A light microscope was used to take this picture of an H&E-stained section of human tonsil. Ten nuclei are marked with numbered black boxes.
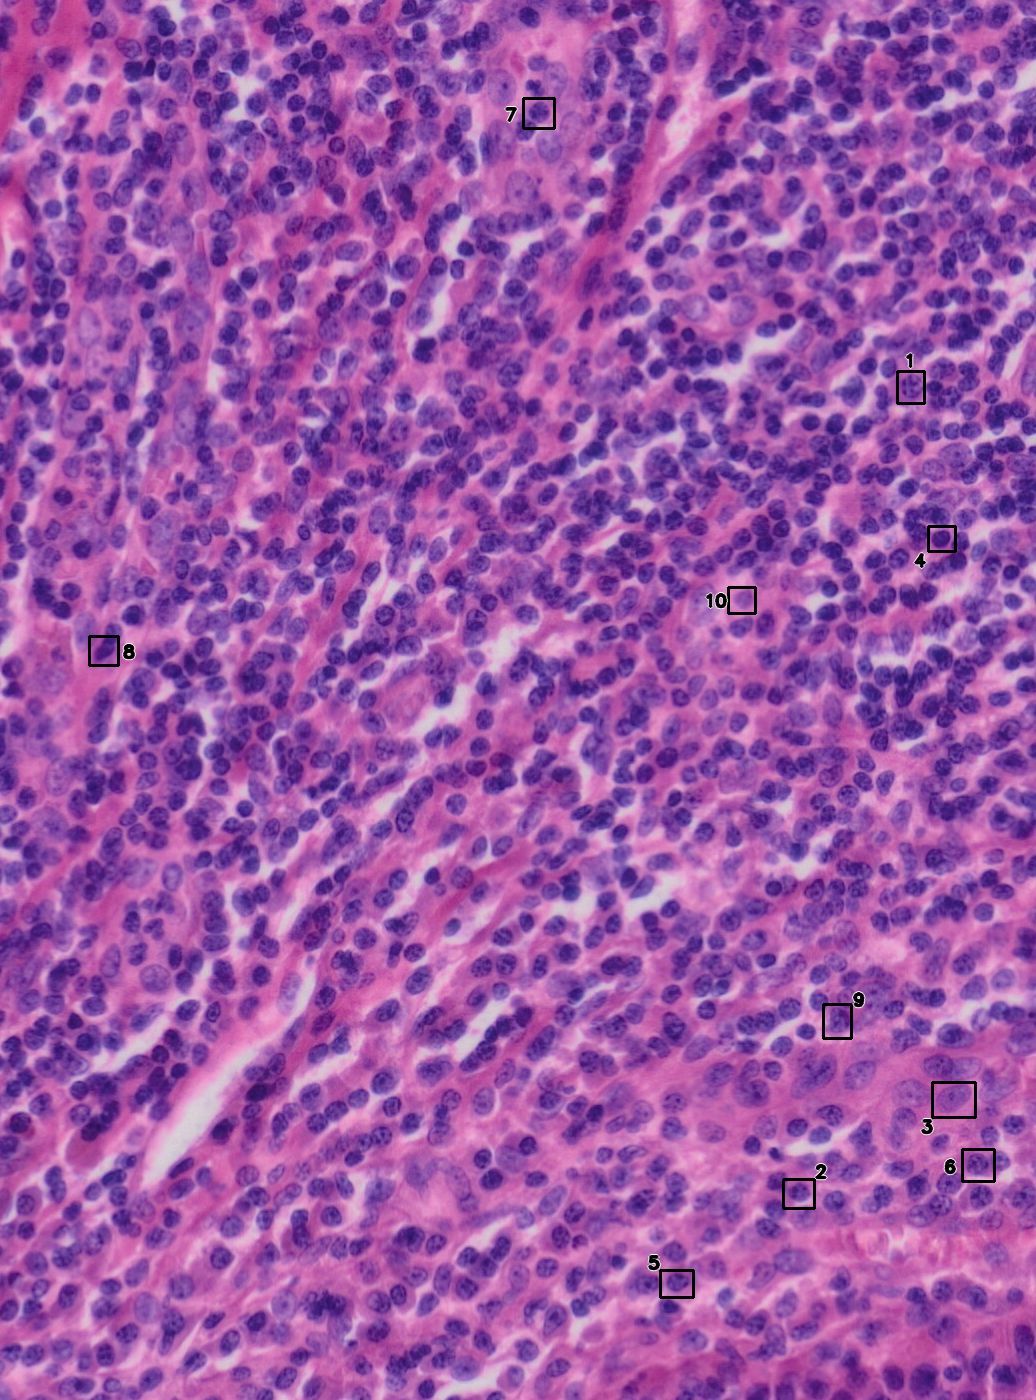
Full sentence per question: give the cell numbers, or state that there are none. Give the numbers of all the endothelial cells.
As for the cells numbered 3, 7, 8 and 10, they are endothelial cells.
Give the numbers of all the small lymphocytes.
Of the numbered nuclei, only the one labelled 4 belongs to a small lymphocyte.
